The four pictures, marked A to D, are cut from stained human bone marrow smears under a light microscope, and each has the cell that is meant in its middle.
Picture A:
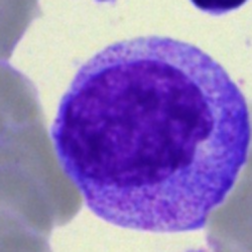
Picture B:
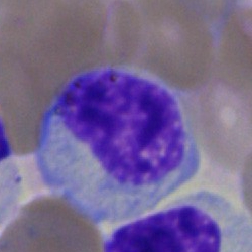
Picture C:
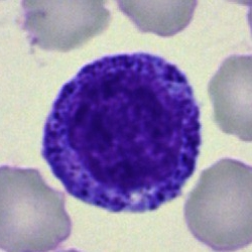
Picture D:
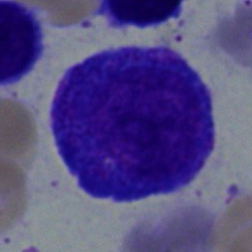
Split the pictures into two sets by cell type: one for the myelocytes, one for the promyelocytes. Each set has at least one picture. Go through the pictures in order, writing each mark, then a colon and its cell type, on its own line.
A: promyelocyte
B: myelocyte
C: promyelocyte
D: promyelocyte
